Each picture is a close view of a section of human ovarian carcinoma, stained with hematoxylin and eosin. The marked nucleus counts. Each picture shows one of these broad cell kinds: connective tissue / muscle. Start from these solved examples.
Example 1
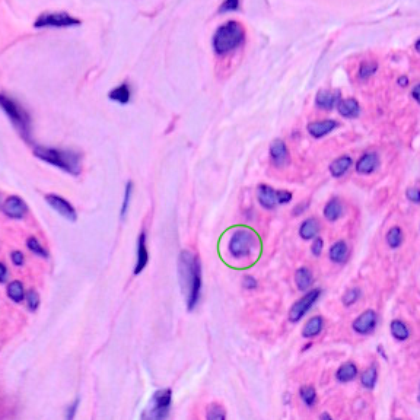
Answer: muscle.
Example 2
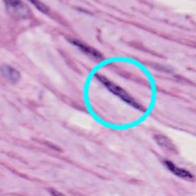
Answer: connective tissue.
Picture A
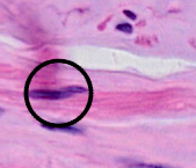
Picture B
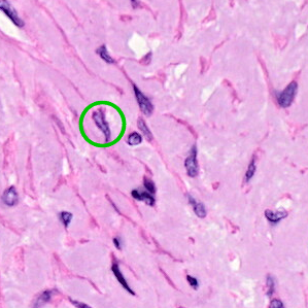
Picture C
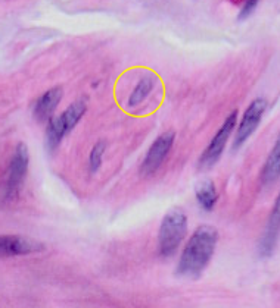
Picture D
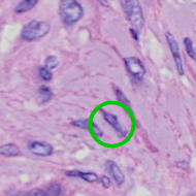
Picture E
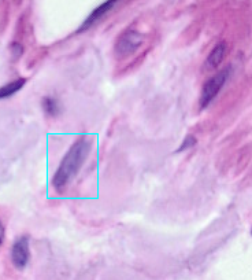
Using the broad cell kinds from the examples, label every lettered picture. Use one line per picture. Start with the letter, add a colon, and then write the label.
A: muscle.
B: connective tissue.
C: muscle.
D: connective tissue.
E: connective tissue.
